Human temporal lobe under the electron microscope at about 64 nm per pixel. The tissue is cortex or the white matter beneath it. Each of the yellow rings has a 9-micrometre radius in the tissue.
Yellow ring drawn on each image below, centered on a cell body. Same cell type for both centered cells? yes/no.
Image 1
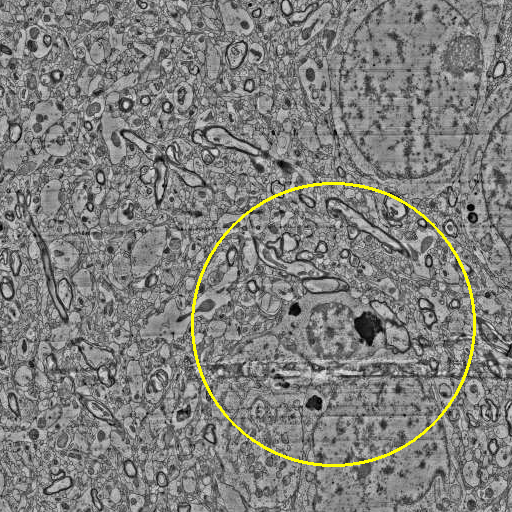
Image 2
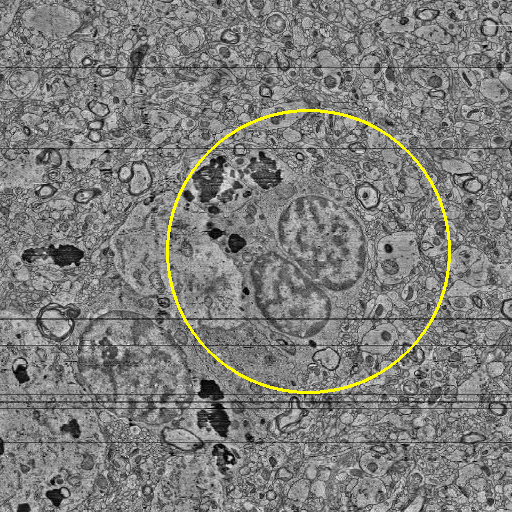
yes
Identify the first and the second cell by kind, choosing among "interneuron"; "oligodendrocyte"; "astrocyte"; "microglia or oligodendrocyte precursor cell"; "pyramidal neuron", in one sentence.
Each of the ringed cells, first and second, is an oligodendrocyte.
